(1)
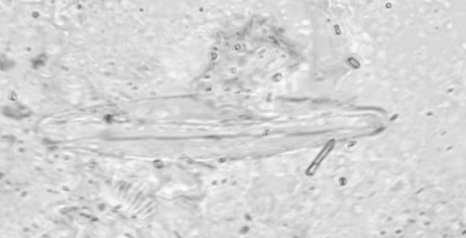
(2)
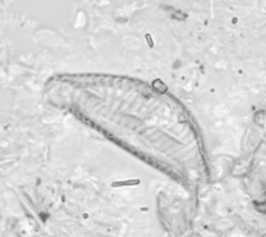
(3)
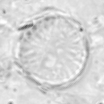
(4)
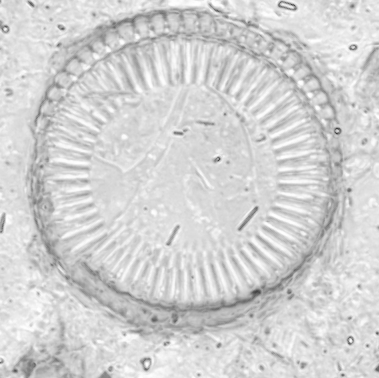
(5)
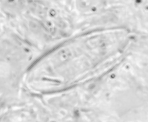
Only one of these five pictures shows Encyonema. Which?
Picture 2.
